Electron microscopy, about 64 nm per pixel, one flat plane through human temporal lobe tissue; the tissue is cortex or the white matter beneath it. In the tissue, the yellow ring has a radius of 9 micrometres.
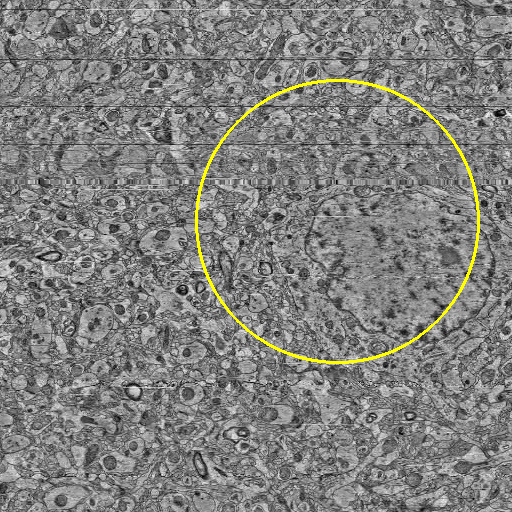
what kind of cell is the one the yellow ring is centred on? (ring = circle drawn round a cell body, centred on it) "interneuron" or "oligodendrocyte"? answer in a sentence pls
The ring is drawn around an interneuron.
